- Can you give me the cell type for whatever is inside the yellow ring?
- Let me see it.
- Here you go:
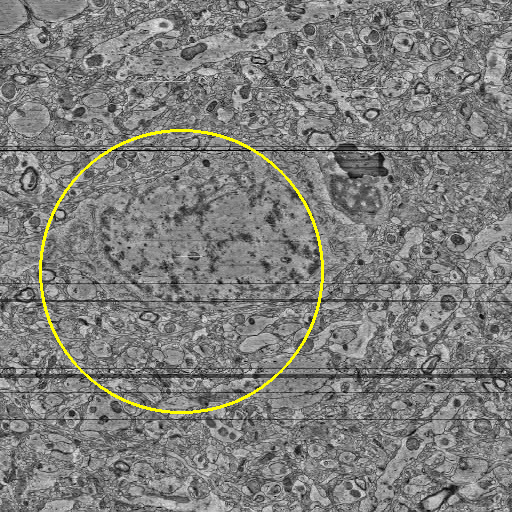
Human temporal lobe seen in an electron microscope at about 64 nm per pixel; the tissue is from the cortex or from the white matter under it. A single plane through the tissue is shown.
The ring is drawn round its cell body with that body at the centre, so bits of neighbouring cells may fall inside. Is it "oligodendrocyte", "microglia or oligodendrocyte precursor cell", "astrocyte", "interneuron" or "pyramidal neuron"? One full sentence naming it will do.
The cell body in the middle of the ring in this picture belongs to an interneuron.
